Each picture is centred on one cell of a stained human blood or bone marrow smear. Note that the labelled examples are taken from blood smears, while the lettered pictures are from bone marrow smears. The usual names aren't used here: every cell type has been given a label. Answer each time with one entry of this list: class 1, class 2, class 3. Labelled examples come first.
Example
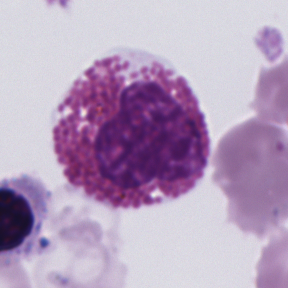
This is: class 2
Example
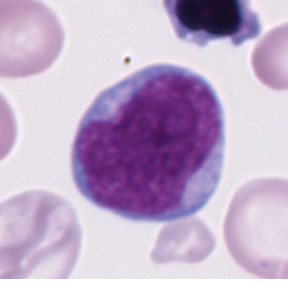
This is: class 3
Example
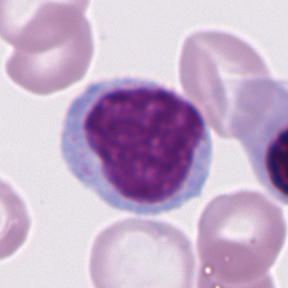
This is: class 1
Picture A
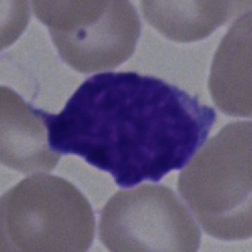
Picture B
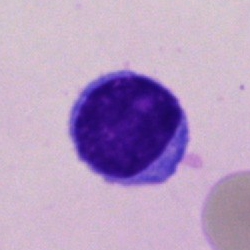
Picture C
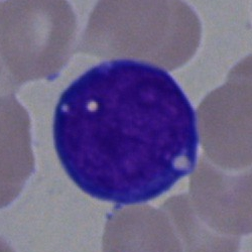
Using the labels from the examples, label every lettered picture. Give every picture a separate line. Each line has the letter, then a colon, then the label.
A: class 3
B: class 1
C: class 3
